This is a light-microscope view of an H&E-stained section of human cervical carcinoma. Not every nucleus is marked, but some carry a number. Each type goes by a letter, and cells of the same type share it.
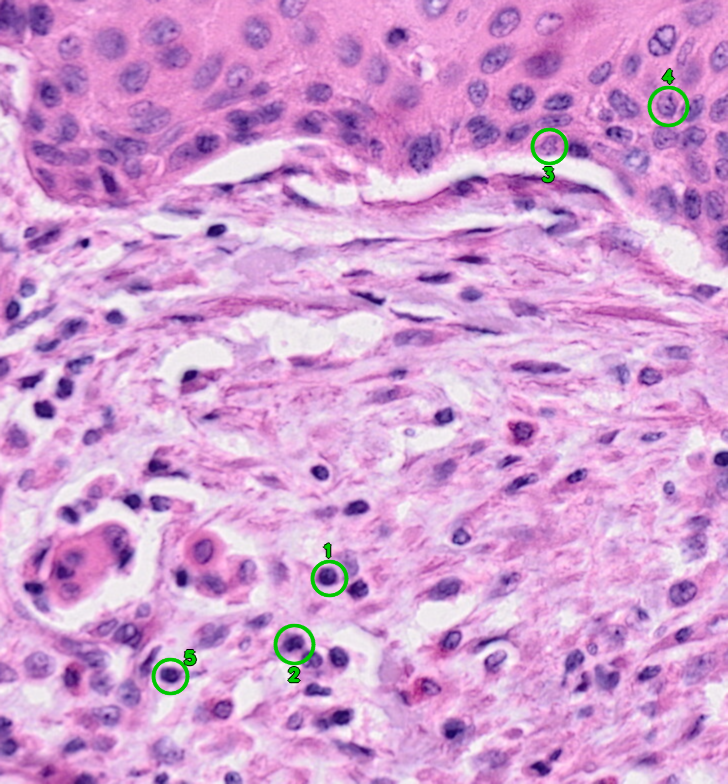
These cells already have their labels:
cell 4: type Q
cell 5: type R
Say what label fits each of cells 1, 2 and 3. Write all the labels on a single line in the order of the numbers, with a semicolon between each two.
type R; type R; type Q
